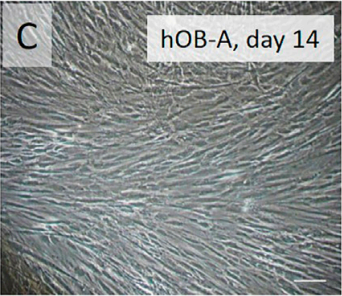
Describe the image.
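The cells are long and spindle-shaped, with tapering ends. They lie packed side by side in parallel streams that sweep in gentle curves across the field, giving a swirling, combed look. The cell outlines show as fine bright edges. Individual nuclei are hard to pick out because the layer is so crowded. Hardly any empty space remains between the cells, which is what a dense, confluent culture looks like.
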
